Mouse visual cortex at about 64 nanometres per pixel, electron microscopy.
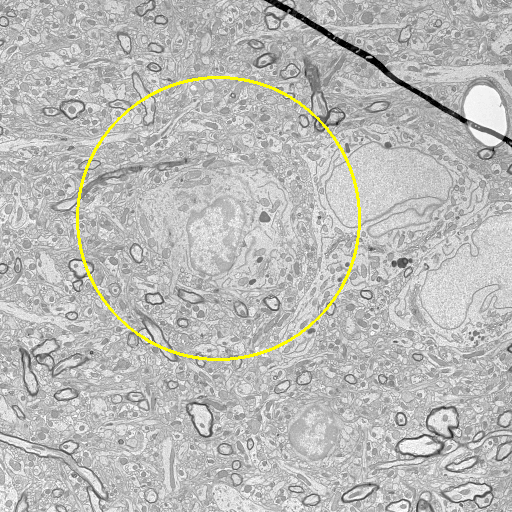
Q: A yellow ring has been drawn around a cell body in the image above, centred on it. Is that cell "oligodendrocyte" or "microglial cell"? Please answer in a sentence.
The ring surrounds the cell body of an oligodendrocyte.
